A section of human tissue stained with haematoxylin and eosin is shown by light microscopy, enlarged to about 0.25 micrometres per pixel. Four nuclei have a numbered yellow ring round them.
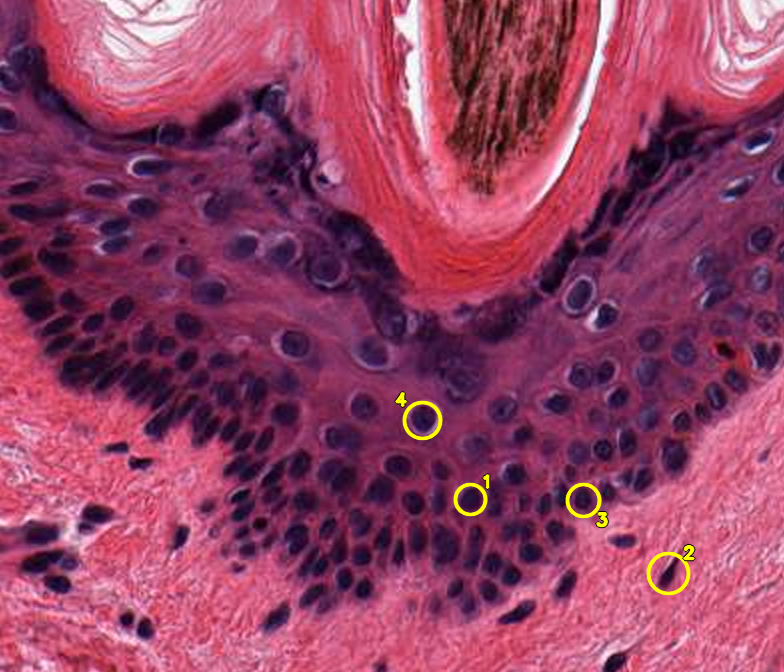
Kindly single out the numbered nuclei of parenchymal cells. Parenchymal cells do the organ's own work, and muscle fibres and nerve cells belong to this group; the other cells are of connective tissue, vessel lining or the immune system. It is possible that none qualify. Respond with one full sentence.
With the numbers 1, 3 and 4, nuclei of parenchymal cells are marked.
